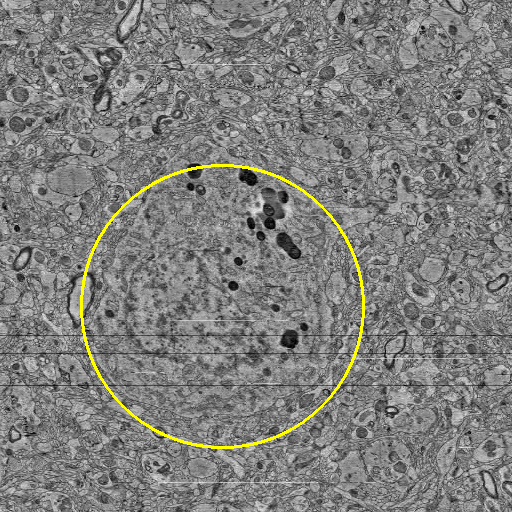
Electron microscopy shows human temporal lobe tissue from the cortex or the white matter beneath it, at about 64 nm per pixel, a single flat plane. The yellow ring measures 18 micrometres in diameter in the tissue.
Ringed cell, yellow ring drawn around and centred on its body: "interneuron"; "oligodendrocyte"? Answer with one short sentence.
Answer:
This ringed cell is an interneuron.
